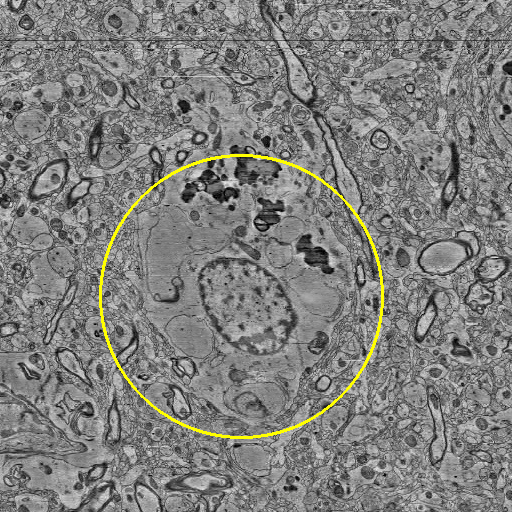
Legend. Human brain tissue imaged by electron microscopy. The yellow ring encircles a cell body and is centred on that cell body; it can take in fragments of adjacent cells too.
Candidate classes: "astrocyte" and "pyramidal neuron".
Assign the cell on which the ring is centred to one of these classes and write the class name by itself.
astrocyte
